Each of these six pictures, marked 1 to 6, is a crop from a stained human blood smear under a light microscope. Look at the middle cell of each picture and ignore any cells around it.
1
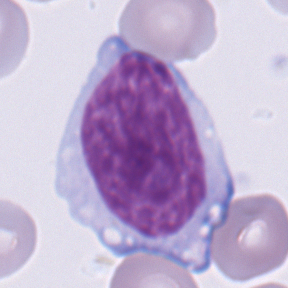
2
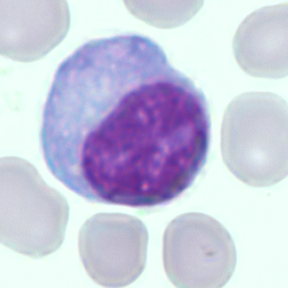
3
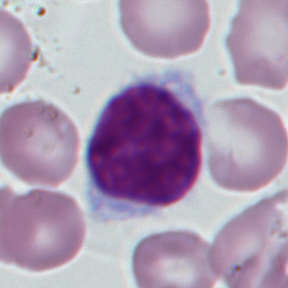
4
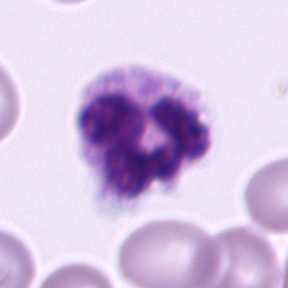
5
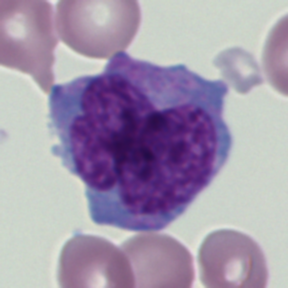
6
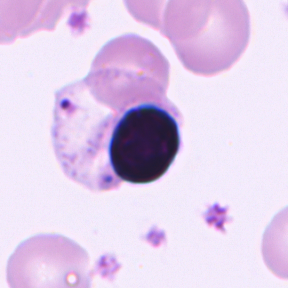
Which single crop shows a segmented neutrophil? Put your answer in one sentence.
The one crop that shows a segmented neutrophil is crop 4.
